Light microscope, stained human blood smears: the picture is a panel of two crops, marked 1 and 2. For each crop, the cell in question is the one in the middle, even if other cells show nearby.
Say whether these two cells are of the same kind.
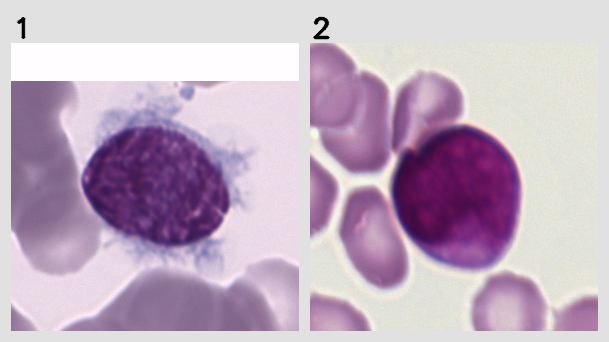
no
